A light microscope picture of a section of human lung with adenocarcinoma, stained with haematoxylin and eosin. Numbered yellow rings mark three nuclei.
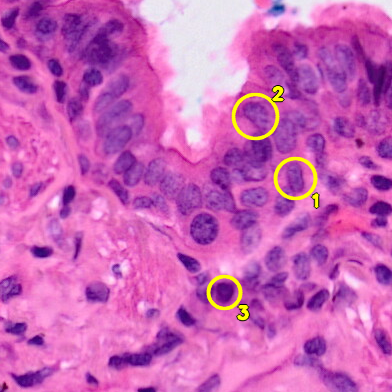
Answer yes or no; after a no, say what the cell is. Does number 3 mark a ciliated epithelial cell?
No, it is a plasma cell.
